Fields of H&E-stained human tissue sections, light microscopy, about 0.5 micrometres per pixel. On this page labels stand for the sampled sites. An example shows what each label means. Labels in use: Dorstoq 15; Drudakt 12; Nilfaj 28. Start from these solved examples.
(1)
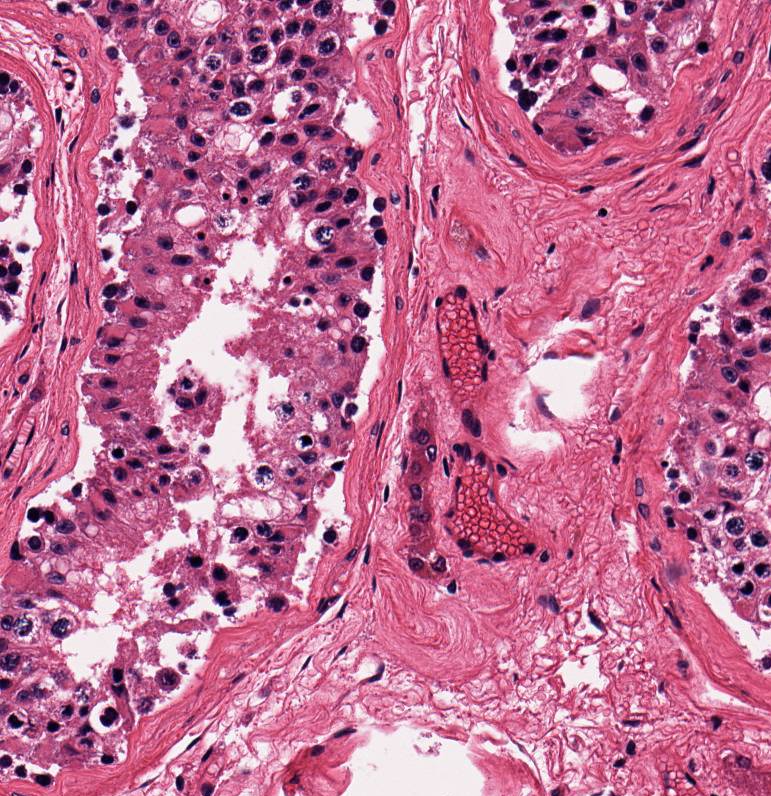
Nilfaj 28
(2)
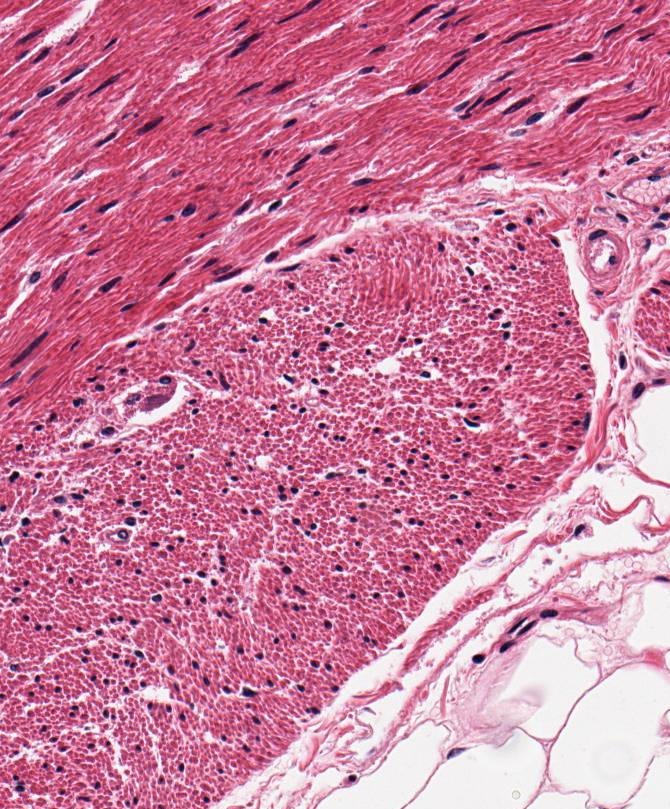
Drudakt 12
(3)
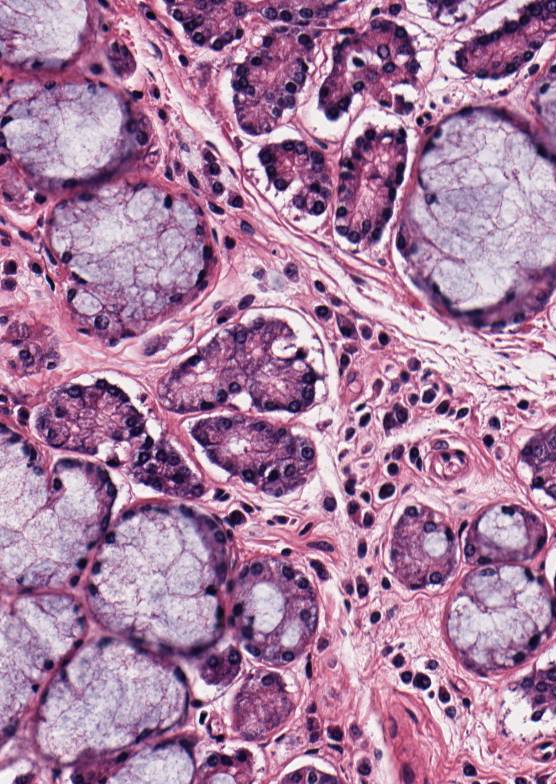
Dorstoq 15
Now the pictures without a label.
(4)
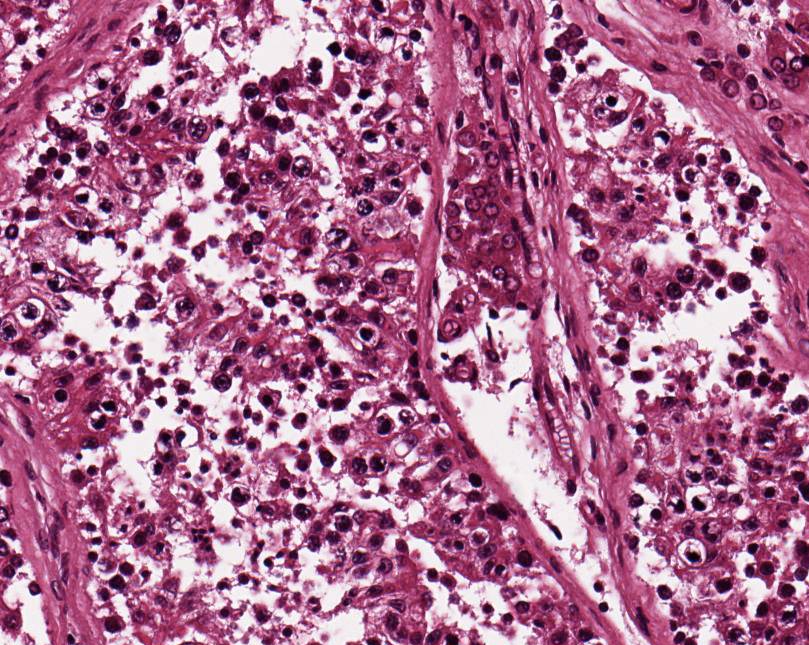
Nilfaj 28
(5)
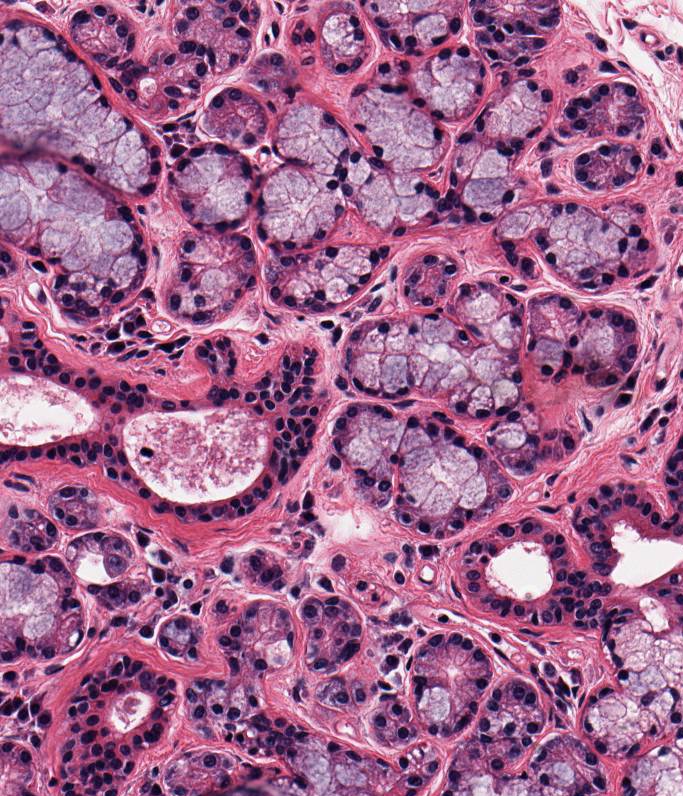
Dorstoq 15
